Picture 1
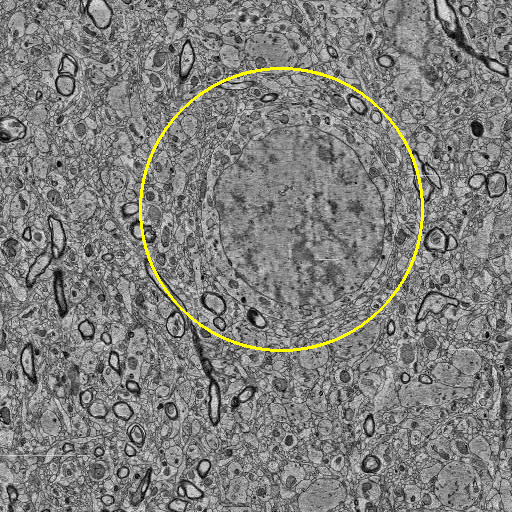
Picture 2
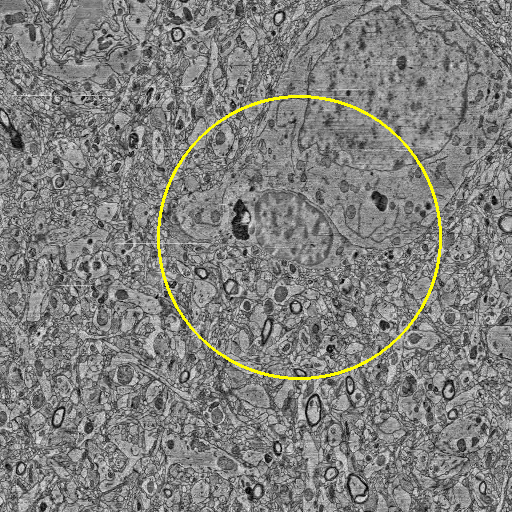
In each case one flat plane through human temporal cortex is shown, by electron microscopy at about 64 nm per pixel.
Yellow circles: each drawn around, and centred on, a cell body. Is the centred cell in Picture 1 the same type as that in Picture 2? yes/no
no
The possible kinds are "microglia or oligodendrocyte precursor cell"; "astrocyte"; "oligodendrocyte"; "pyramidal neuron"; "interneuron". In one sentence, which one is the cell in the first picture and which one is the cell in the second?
The cell ringed in the second picture is an oligodendrocyte, whereas the one ringed in the first is an interneuron.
